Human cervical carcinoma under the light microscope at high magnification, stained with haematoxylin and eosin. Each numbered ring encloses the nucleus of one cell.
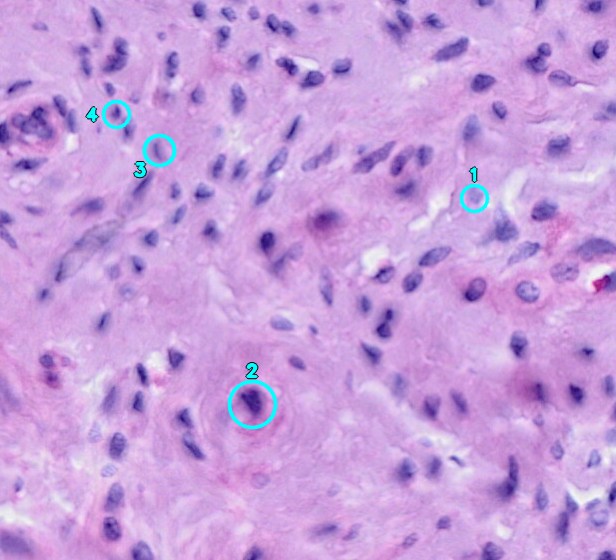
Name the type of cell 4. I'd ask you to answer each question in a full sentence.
Cell 4 should be recorded as a fibroblast.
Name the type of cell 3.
The cell marked with number 3 is a fibroblast.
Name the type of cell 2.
The cell pointed out by number 2 is an endothelial cell.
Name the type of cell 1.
That cell with number 1 is a fibroblast.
